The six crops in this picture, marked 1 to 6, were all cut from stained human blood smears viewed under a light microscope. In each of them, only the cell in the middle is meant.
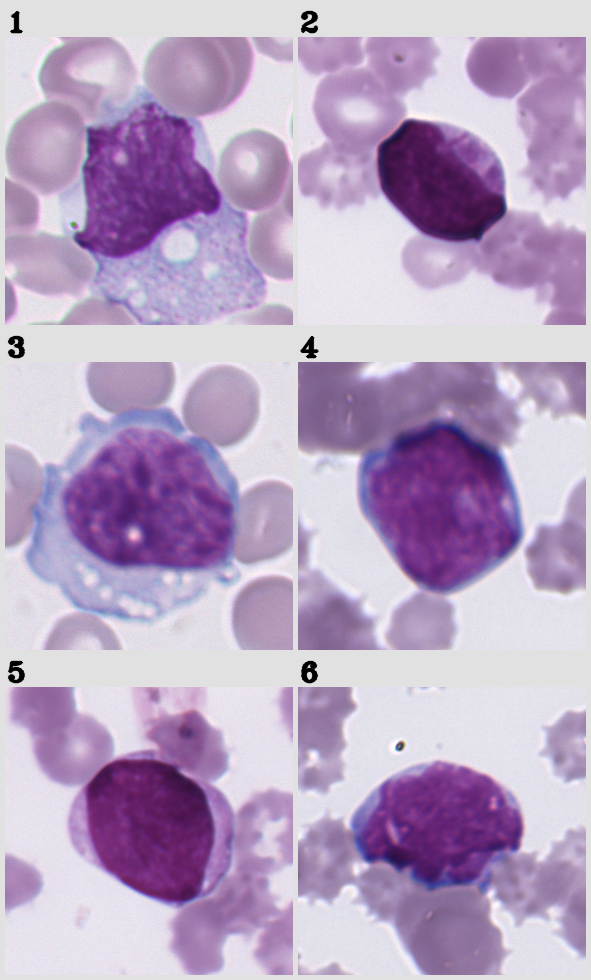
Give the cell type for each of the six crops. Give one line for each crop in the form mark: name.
1: monocyte
2: blast
3: blast
4: blast
5: blast
6: blast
